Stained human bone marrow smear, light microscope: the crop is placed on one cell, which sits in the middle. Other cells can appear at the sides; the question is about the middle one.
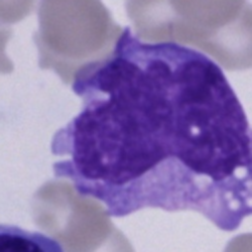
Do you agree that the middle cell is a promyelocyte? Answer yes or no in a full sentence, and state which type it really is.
No, the centre of the crop contains a monocyte rather than a promyelocyte.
